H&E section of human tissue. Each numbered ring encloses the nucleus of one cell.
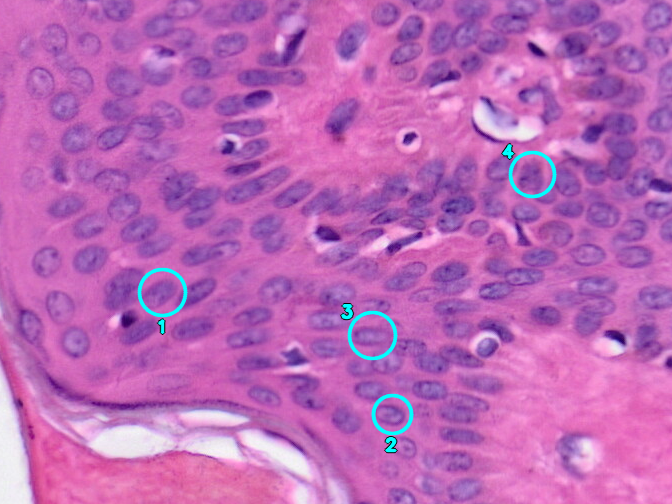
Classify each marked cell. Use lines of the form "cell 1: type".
cell 1: suprabasal keratinocyte
cell 2: suprabasal keratinocyte
cell 3: suprabasal keratinocyte
cell 4: basal keratinocyte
